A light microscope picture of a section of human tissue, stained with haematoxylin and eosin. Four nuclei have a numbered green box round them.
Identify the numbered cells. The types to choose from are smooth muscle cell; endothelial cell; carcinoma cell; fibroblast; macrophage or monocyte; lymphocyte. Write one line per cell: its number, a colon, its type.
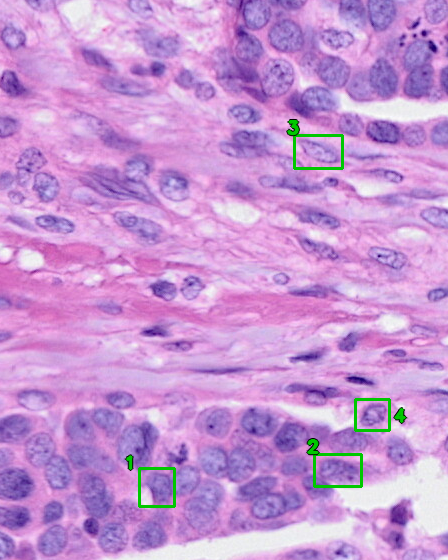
1: carcinoma cell
2: carcinoma cell
3: fibroblast
4: macrophage or monocyte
